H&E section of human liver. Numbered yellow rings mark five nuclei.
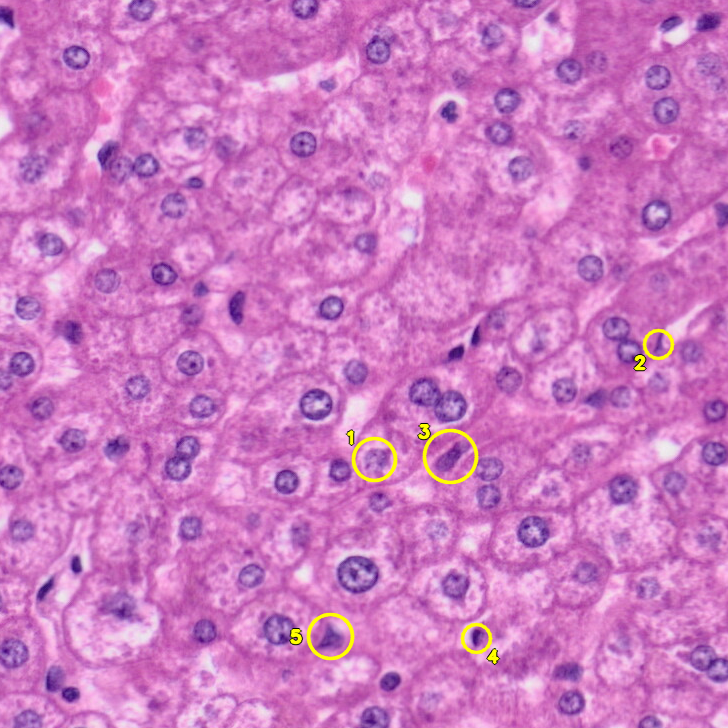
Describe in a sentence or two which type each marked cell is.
Cell 1 is a hepatocyte. Cell 2 is a fibroblast or stellate cell. Cells 3 and 4 are Kupffer cells. Cell 5 is an endothelial cell.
